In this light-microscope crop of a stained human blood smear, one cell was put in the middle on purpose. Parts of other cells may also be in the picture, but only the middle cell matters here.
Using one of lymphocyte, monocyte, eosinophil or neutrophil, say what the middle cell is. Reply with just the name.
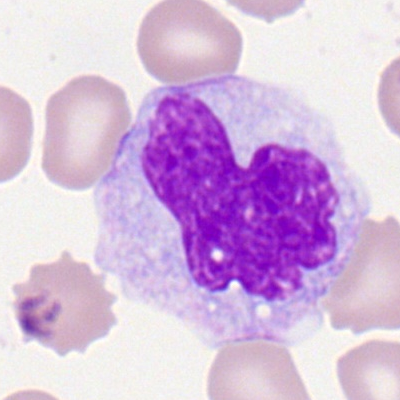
monocyte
